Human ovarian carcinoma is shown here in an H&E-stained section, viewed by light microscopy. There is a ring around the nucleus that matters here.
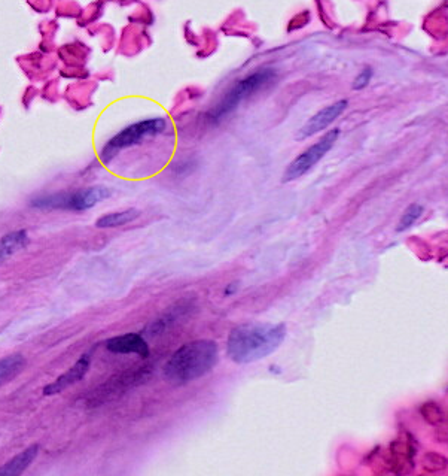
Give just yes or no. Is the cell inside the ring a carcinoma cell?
no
